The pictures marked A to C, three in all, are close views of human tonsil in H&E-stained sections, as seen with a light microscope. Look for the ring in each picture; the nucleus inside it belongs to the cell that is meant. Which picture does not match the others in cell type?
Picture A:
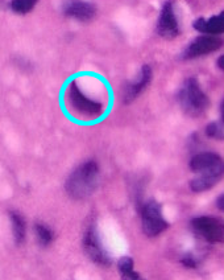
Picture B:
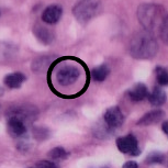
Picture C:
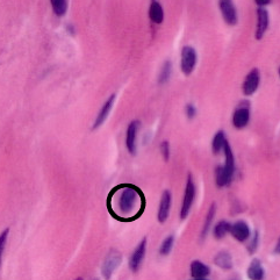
C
